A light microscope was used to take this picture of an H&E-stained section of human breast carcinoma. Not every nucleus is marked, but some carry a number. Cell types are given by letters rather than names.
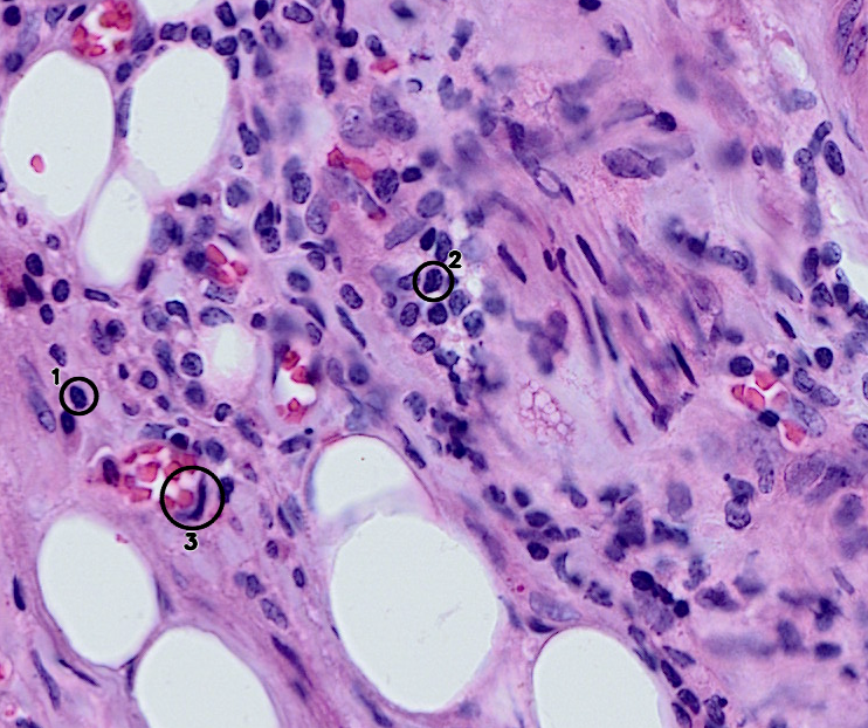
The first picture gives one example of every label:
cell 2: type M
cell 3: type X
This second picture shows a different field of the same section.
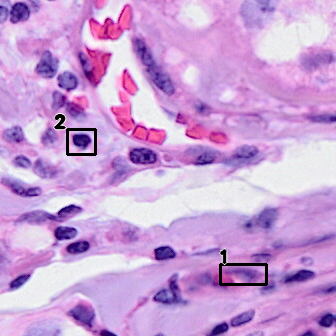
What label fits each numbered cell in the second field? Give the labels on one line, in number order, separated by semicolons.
type X; type M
